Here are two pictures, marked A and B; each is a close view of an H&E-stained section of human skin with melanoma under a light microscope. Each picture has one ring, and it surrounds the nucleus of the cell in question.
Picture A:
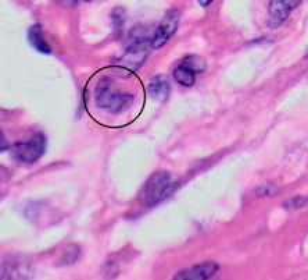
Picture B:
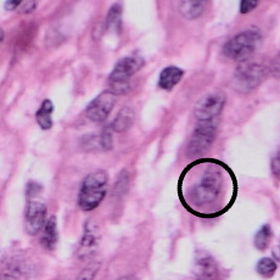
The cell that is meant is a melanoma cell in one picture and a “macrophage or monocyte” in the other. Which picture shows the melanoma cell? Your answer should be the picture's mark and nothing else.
B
